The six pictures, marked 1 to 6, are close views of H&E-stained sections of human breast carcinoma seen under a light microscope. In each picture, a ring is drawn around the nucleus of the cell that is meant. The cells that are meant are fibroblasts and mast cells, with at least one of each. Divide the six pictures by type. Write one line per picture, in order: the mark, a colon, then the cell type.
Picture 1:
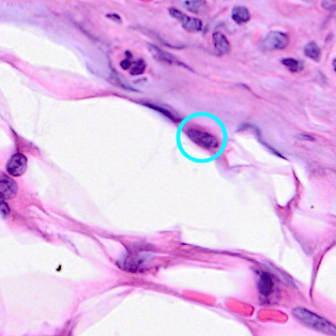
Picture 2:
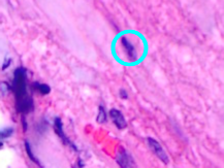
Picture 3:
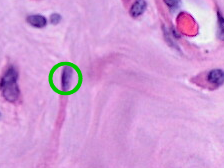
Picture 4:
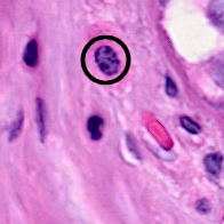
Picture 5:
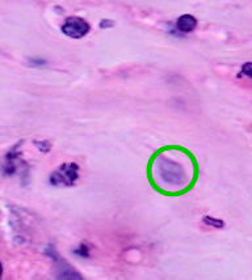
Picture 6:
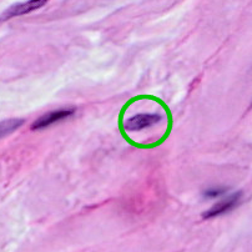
1: mast cell
2: fibroblast
3: fibroblast
4: mast cell
5: fibroblast
6: fibroblast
